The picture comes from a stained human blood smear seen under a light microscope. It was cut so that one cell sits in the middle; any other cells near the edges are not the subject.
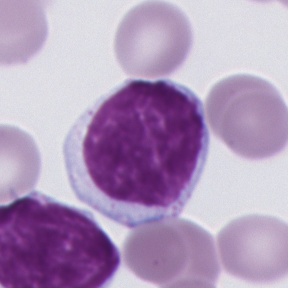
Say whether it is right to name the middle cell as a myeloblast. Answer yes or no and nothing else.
no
